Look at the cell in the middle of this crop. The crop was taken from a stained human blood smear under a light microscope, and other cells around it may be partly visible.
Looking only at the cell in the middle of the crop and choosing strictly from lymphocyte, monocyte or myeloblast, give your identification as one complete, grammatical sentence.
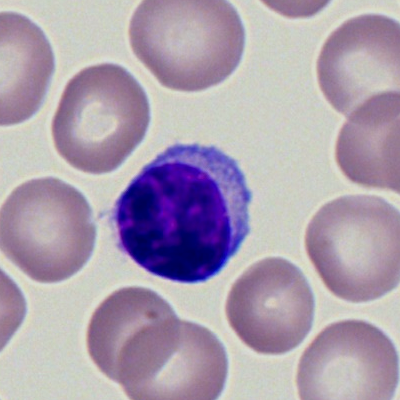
Within this crop, a lymphocyte occupies the central position.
